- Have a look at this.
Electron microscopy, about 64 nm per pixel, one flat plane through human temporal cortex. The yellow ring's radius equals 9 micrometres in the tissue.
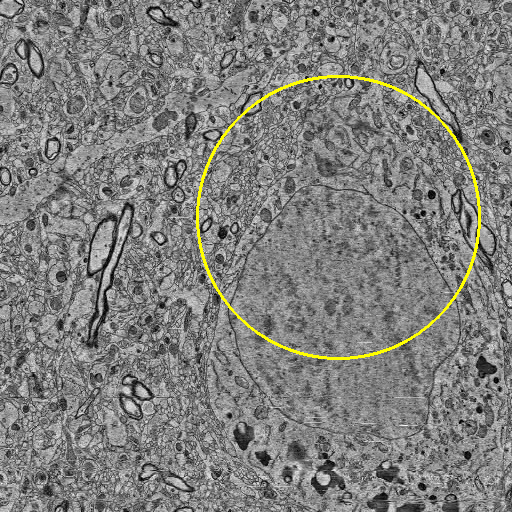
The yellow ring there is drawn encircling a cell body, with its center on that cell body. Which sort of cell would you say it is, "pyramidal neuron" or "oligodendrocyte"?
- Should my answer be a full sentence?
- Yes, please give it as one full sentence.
For this picture, a pyramidal neuron is the cell where the yellow ring has its center.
